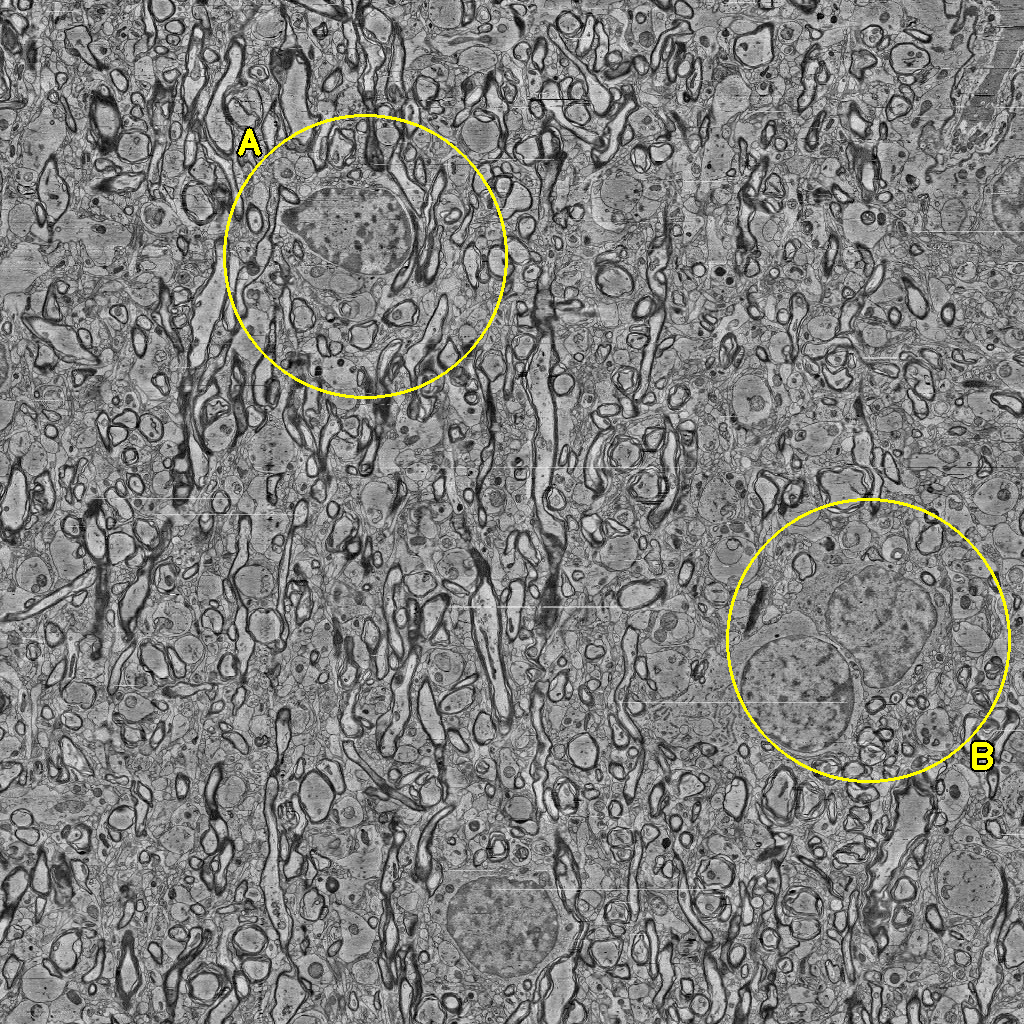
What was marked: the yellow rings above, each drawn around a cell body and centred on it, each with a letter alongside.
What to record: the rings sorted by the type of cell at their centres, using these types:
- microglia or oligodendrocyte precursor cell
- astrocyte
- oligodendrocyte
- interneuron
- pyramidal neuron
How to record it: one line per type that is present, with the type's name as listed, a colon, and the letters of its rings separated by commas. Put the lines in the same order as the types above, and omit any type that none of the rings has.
microglia or oligodendrocyte precursor cell: A
oligodendrocyte: B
